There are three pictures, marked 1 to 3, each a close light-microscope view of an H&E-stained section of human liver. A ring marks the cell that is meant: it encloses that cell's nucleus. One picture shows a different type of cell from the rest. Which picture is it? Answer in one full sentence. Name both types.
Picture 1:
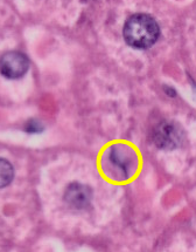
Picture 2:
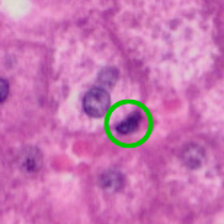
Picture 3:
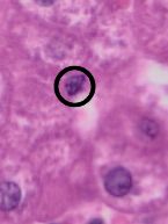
The different one is picture 1; it shows an endothelial cell, whereas all the others show “fibroblasts or stellate cells”.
